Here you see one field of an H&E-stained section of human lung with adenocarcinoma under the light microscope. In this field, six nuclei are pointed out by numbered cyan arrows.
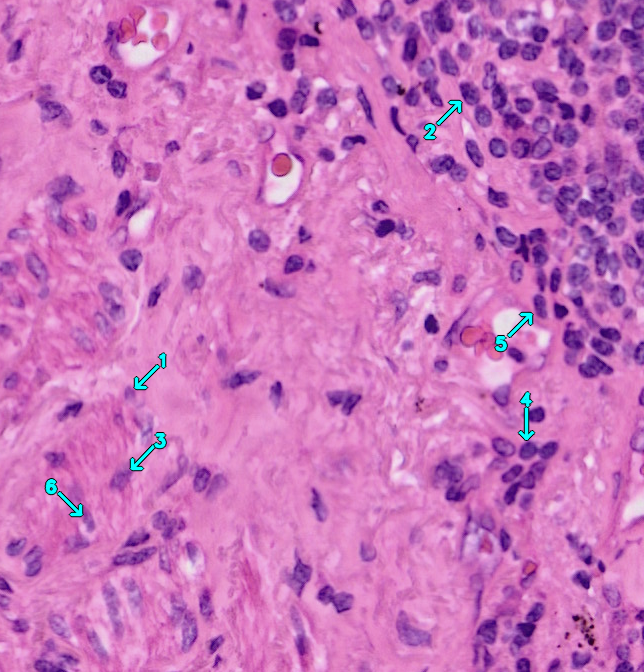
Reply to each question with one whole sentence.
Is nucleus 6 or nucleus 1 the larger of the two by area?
Nucleus 6 is the larger one, covering about 1.5 times the area of nucleus 1.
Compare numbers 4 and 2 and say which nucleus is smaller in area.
Nucleus 4 is the smaller one; nucleus 2 covers about 1.5 times its area.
